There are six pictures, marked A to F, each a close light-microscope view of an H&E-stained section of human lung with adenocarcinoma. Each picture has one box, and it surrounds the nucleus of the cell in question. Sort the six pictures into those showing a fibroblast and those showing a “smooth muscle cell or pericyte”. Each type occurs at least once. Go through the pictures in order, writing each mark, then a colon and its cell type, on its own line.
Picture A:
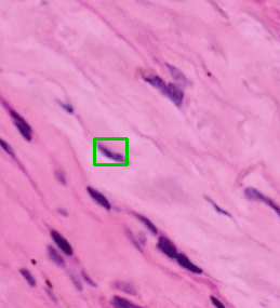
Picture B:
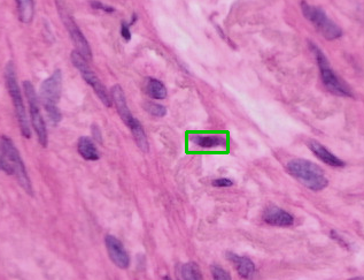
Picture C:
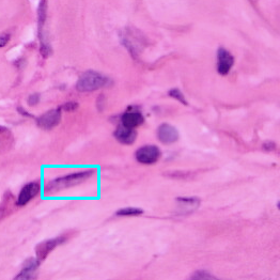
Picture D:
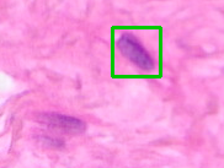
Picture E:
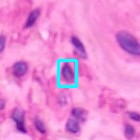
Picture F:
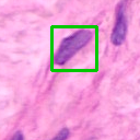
A: fibroblast
B: smooth muscle cell or pericyte
C: fibroblast
D: smooth muscle cell or pericyte
E: smooth muscle cell or pericyte
F: smooth muscle cell or pericyte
